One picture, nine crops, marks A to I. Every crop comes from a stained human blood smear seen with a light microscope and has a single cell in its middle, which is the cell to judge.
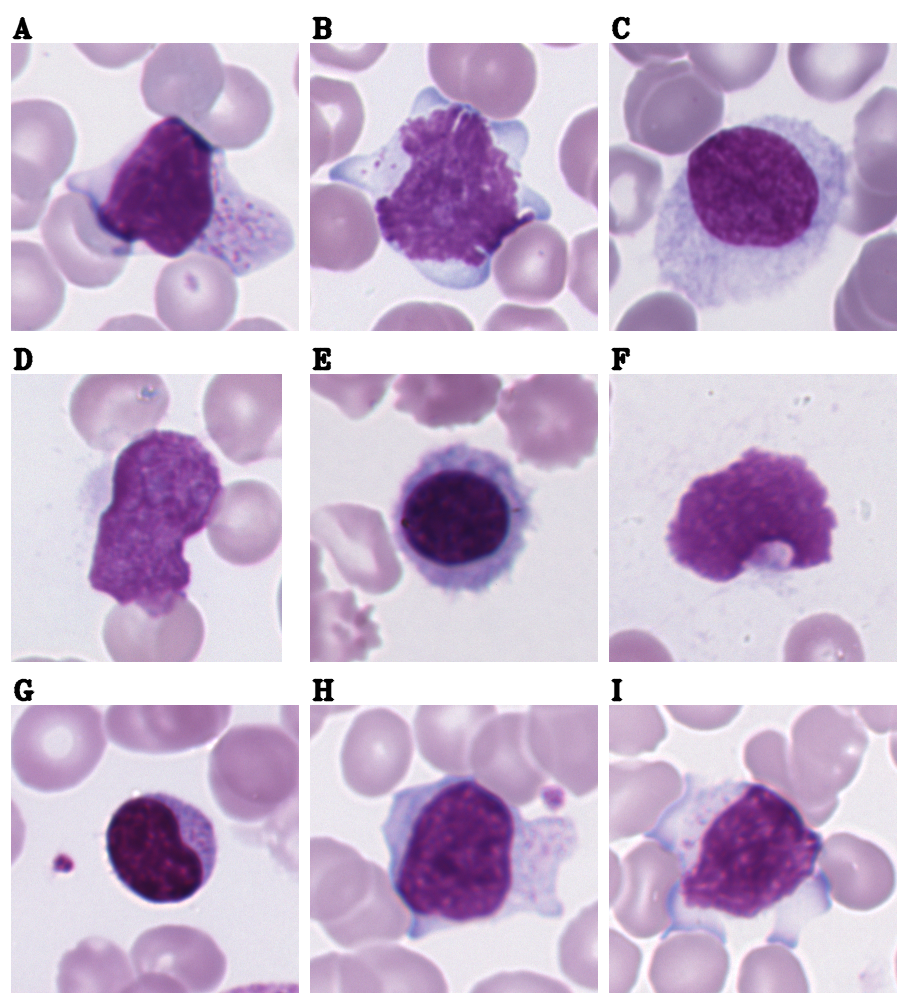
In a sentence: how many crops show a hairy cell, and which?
In this set, hairy cells are shown by two crops, C and E.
